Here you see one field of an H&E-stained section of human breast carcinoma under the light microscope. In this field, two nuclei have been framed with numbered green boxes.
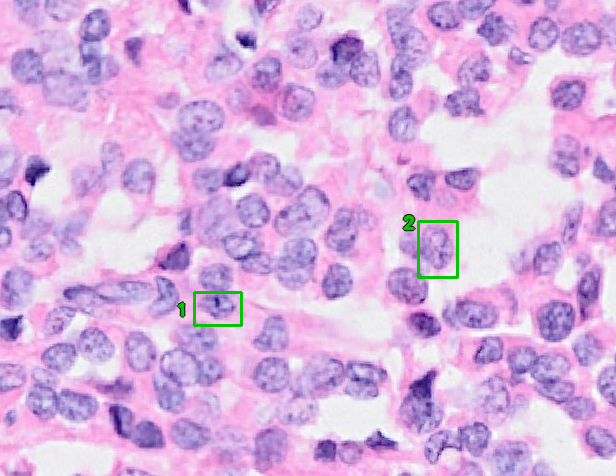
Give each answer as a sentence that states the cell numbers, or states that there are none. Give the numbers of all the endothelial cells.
Cell 1 is an endothelial cell, while every other numbered cell is not.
